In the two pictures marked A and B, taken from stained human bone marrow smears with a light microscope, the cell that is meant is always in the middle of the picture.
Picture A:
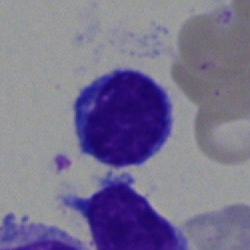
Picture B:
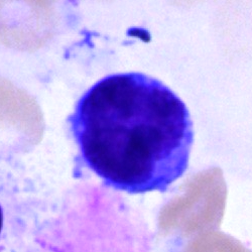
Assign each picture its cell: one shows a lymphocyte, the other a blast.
A: lymphocyte
B: blast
